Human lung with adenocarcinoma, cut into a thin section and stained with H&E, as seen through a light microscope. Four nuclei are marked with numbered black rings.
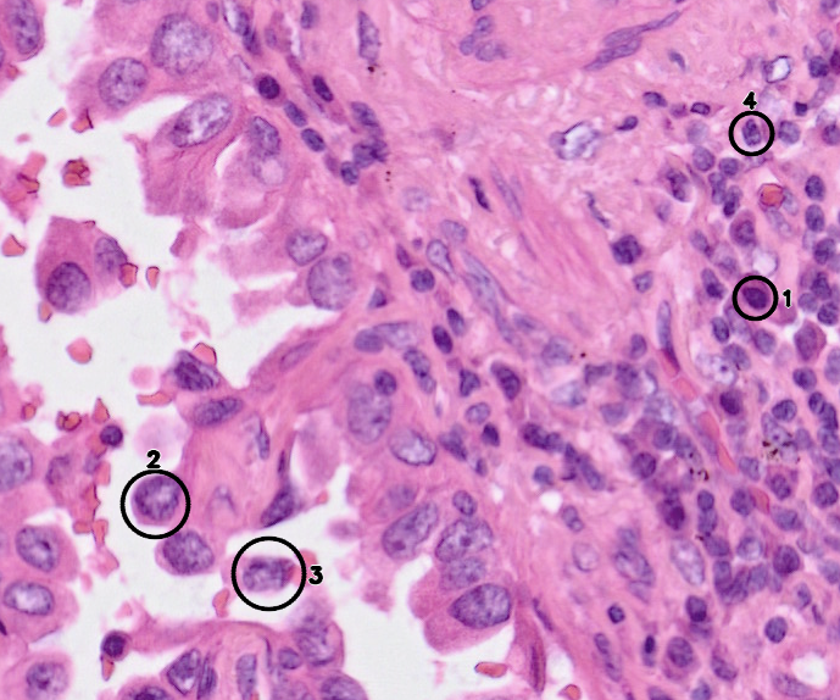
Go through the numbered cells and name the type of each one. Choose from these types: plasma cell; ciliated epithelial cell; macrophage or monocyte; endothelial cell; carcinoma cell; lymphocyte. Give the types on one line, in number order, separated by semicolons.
plasma cell; carcinoma cell; carcinoma cell; lymphocyte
